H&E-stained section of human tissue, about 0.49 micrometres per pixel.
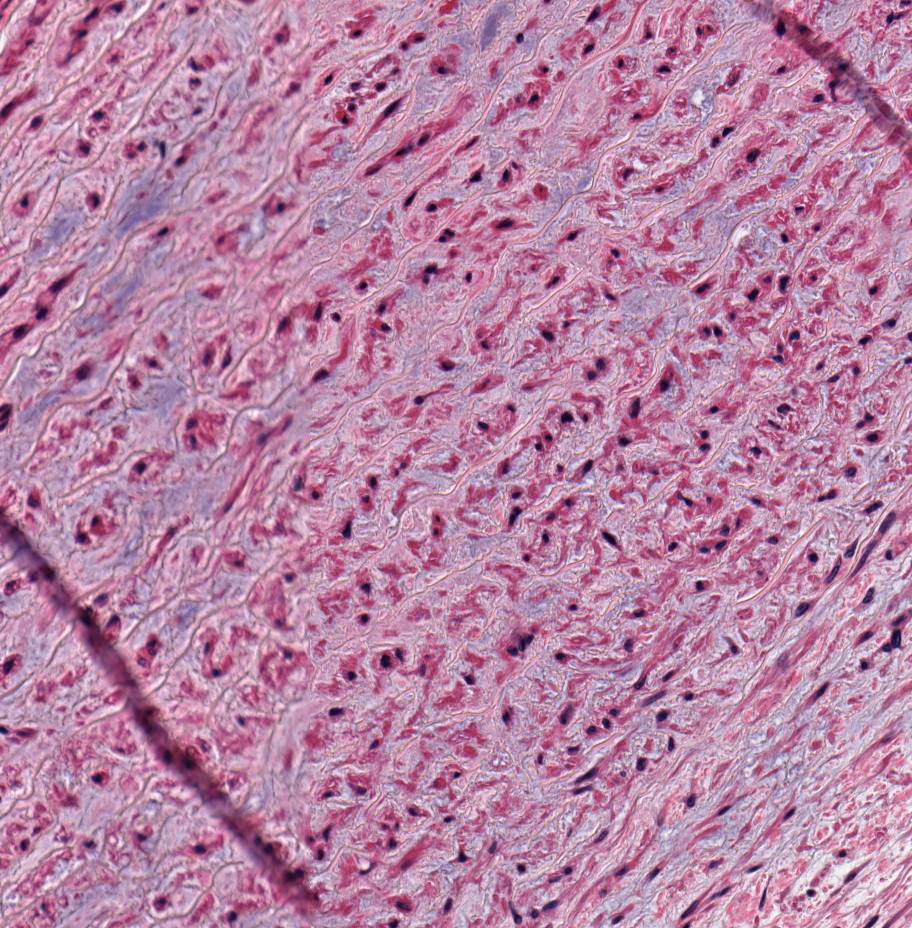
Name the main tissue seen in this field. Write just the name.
tunica media of an artery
